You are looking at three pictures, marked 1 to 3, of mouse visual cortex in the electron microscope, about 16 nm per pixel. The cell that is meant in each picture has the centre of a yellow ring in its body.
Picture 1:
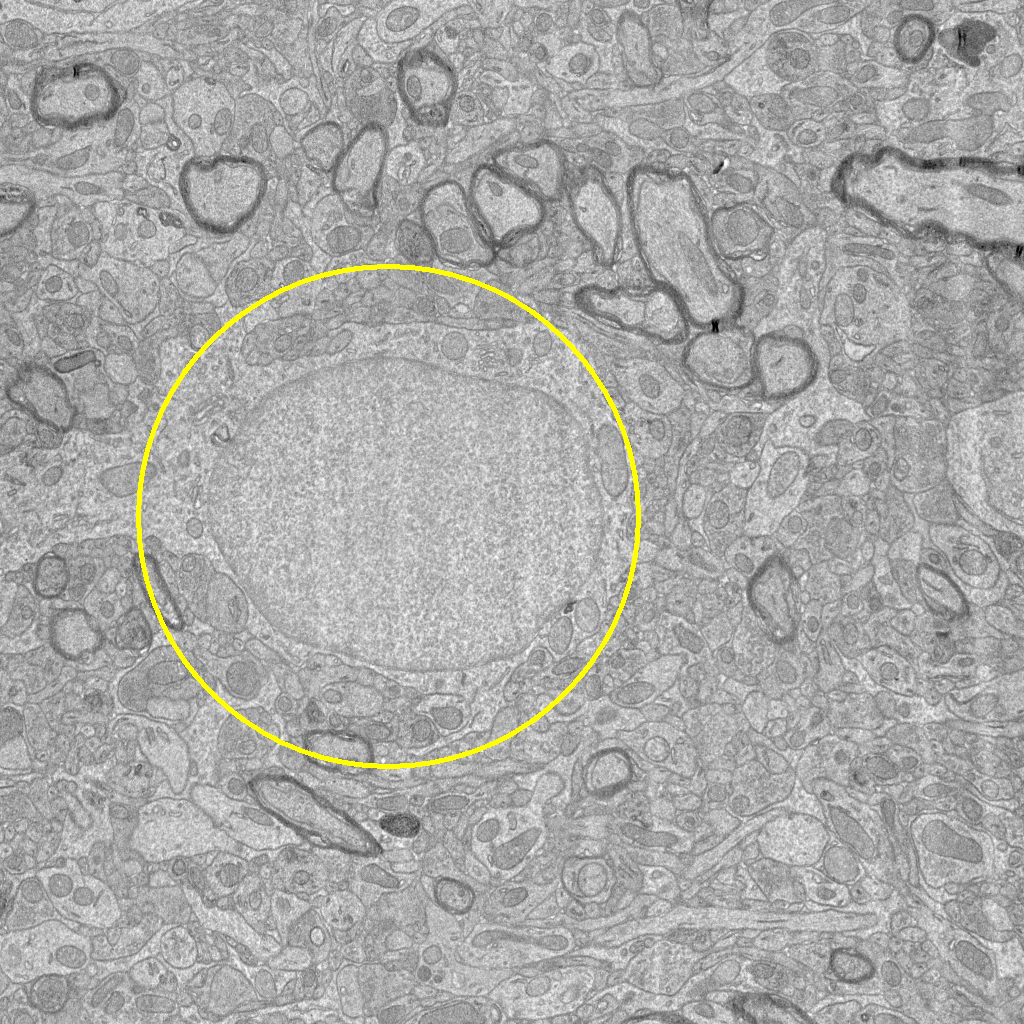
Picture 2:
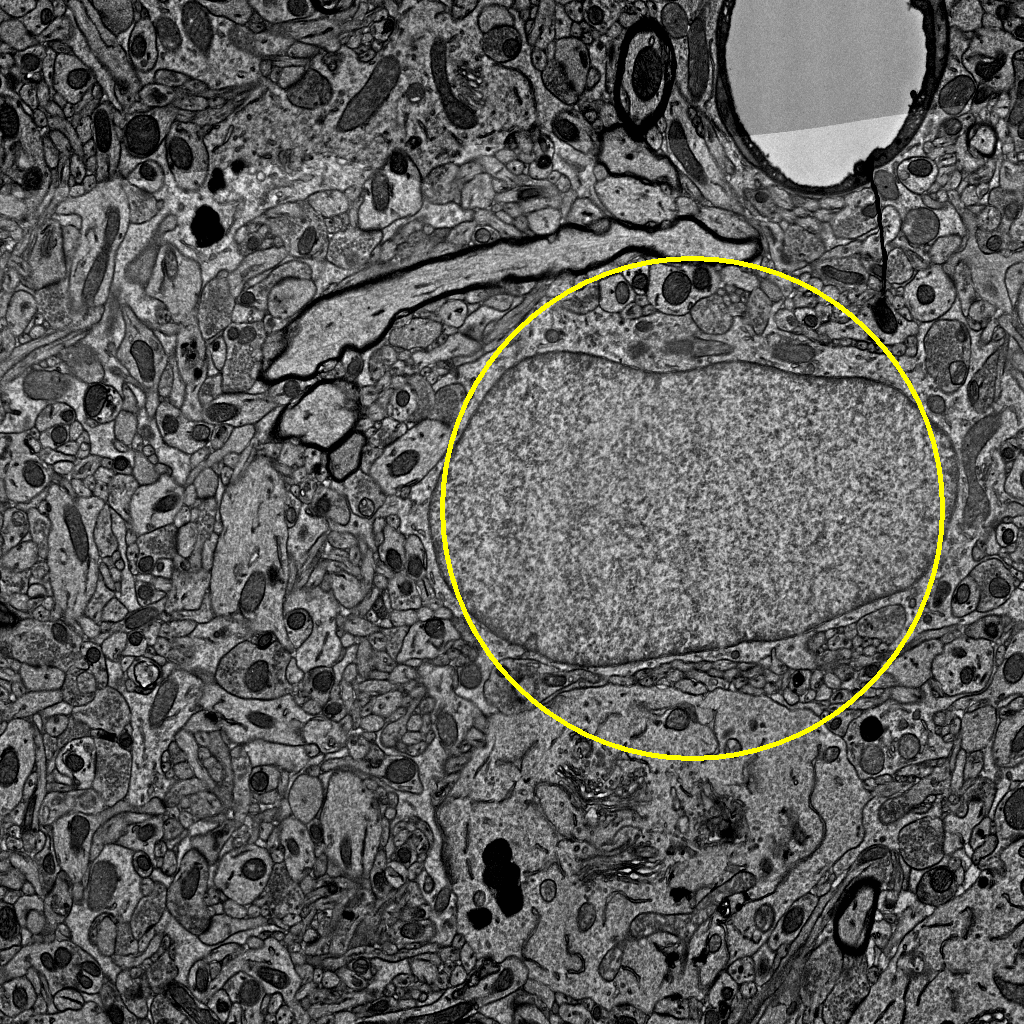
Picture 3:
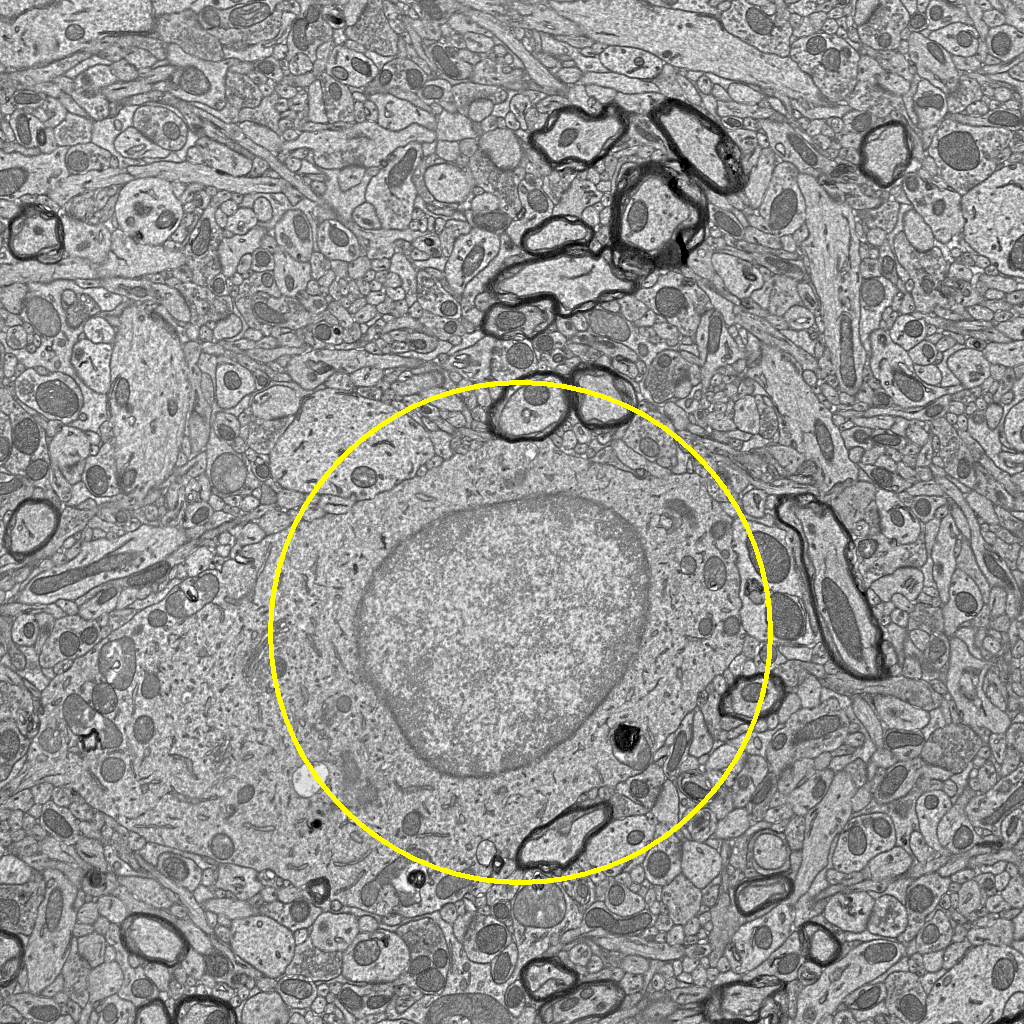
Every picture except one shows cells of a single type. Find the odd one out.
All pictures except 3 show astrocytes; picture 3 shows an oligodendrocyte.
